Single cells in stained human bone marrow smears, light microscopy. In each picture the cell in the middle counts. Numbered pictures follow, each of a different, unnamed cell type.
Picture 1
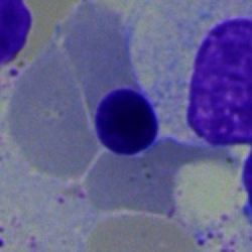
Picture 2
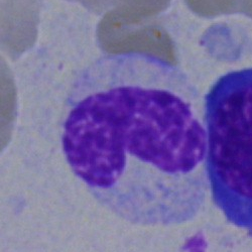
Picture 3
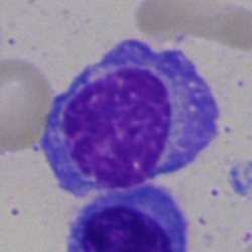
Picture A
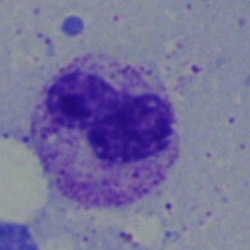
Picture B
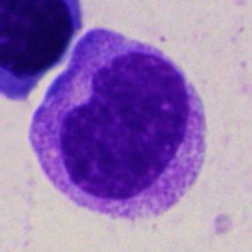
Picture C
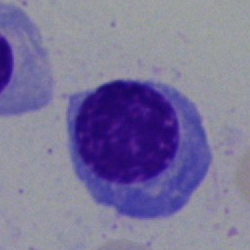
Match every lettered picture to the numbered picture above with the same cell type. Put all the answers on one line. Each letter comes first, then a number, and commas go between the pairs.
A 2, B 2, C 1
